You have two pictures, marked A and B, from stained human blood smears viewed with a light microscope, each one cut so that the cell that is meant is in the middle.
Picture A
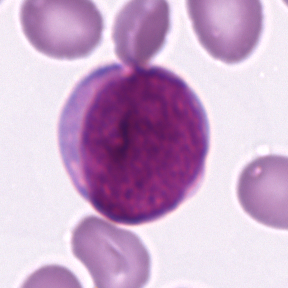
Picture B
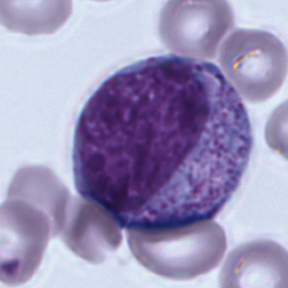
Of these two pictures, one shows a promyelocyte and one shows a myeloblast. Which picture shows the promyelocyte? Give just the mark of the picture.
B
